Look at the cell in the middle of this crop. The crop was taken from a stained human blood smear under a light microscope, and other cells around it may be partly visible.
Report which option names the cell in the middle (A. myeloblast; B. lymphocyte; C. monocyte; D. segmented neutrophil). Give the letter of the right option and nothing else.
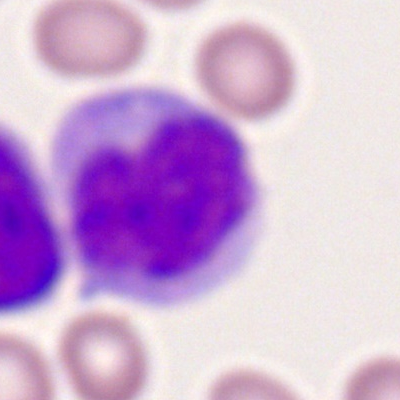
C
